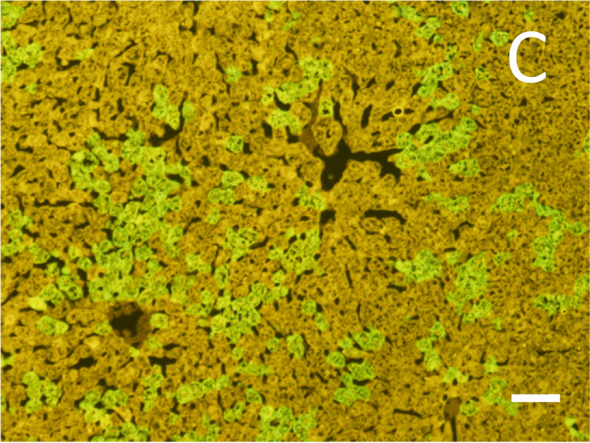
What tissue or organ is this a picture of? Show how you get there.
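Liver. A solid sheet of polygonal cells fills the field. Dark branching vessel lumens with narrow dark channels radiating around them. Scattered clusters of cells glow green among yellow-orange cells.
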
